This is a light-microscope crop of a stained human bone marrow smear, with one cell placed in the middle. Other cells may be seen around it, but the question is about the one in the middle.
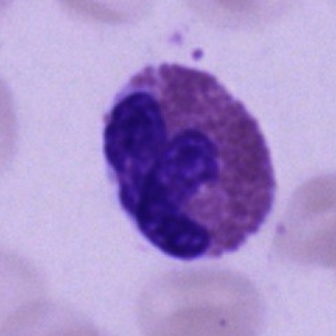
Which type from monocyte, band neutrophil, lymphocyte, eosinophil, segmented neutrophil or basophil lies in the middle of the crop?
eosinophil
